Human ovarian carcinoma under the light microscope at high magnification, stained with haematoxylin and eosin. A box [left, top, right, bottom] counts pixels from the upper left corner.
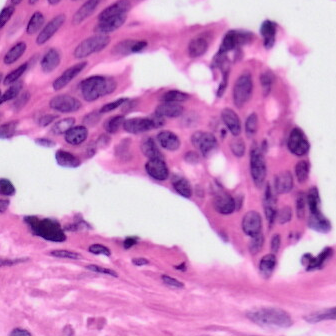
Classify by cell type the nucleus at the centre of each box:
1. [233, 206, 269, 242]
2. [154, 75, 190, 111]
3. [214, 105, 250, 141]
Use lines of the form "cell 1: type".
cell 1: macrophage or monocyte
cell 2: carcinoma cell
cell 3: carcinoma cell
